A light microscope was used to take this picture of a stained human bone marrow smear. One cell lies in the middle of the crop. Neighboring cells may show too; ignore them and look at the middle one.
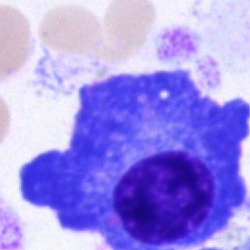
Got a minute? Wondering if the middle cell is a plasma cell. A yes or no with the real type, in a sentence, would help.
Yes, within this crop, the central cell is a plasma cell.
